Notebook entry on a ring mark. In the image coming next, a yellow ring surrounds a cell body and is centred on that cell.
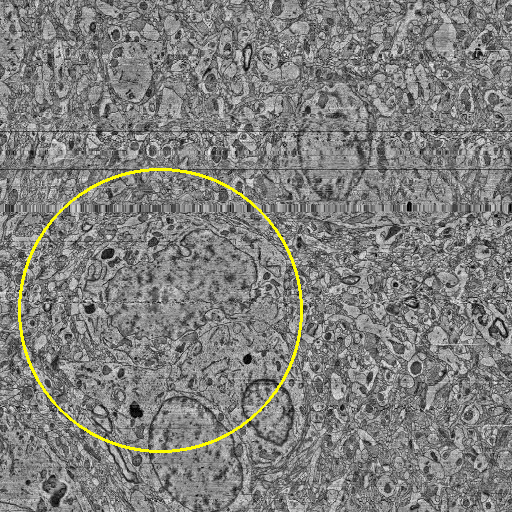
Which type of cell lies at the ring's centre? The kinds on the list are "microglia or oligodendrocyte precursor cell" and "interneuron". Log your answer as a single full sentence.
Centred in the yellow ring is an interneuron, the cell recorded for this image.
